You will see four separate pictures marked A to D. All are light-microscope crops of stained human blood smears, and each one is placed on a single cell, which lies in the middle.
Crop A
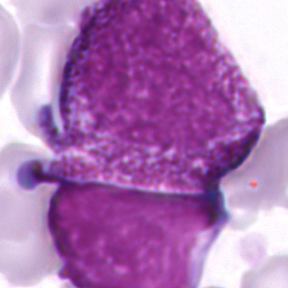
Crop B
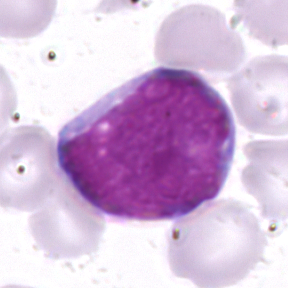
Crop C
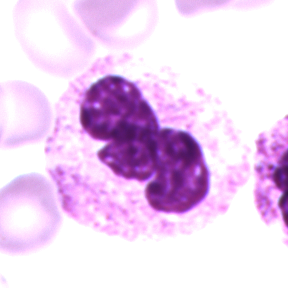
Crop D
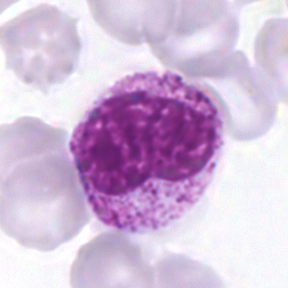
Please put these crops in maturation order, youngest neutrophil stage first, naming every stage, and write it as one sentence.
Taken from least to most mature, the sequence is crop B (a myeloblast), crop A (a promyelocyte), crop D (a metamyelocyte) and crop C (a segmented neutrophil).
